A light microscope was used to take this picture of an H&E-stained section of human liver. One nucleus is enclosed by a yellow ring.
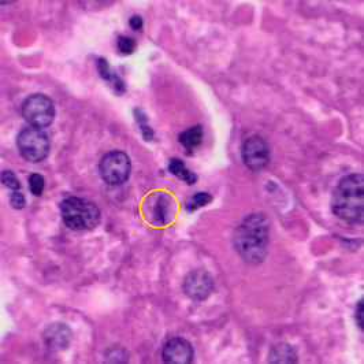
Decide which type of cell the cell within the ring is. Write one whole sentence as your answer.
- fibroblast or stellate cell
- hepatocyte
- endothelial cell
This is a fibroblast or stellate cell.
